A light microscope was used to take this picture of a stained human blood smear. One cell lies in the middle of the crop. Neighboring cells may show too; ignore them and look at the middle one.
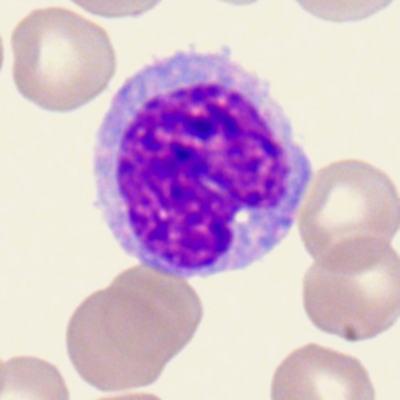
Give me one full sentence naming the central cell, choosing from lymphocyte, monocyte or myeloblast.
Whatever else lies nearby, the middle cell is a monocyte.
